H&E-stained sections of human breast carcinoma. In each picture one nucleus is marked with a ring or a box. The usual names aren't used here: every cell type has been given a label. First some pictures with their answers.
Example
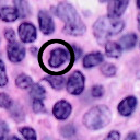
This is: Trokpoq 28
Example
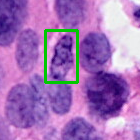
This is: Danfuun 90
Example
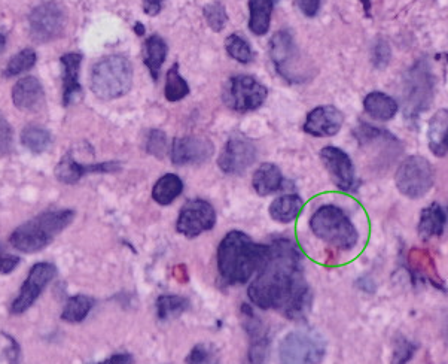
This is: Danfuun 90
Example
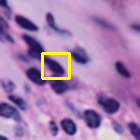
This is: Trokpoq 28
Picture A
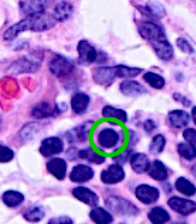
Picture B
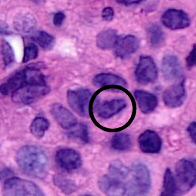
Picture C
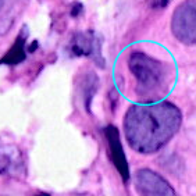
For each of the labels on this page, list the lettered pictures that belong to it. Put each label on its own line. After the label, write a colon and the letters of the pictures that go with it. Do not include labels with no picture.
Trokpoq 28: A
Danfuun 90: B, C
